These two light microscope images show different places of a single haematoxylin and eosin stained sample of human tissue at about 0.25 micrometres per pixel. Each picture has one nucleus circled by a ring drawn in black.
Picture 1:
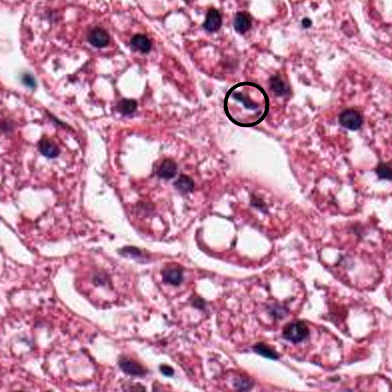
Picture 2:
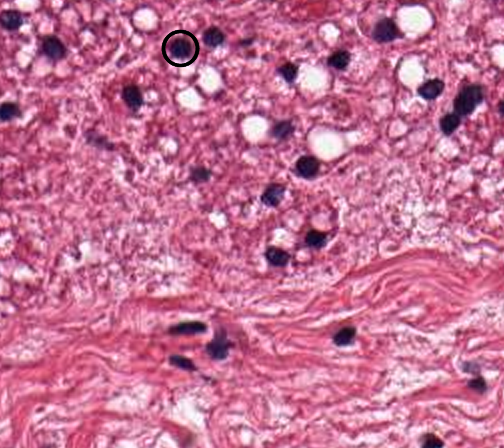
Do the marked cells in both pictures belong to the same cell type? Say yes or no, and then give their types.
No, the first is an endothelial cell and the second an adrenal cortical cell.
